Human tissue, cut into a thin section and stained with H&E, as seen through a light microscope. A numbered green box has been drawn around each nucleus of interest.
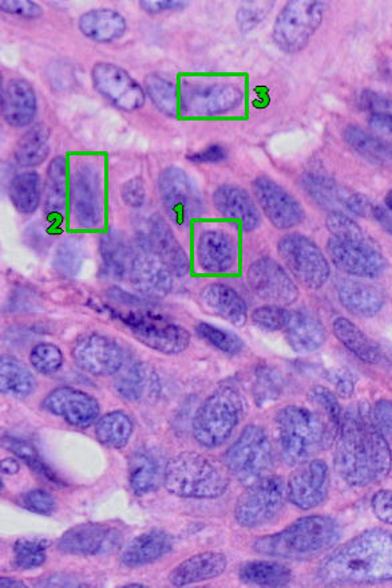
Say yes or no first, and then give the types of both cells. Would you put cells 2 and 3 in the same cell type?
No, cell 2 is a carcinoma cell and cell 3 is a fibroblast.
